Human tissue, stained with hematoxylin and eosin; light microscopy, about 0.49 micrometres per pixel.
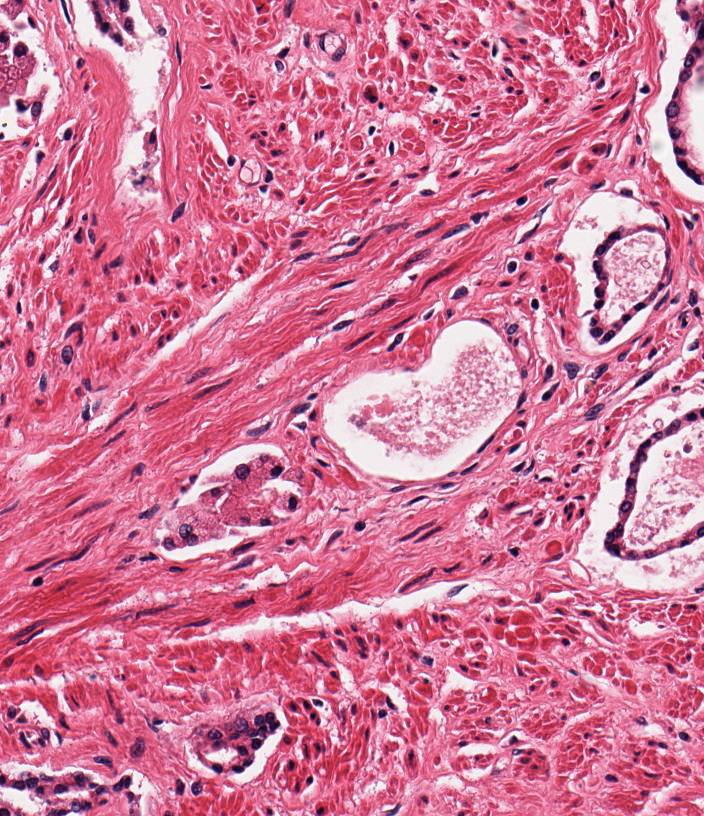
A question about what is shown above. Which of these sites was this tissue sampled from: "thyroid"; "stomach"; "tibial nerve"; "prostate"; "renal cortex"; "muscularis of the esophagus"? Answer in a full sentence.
The site this tissue was sampled from is the prostate.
